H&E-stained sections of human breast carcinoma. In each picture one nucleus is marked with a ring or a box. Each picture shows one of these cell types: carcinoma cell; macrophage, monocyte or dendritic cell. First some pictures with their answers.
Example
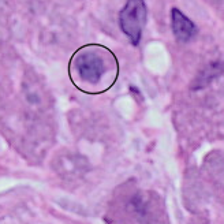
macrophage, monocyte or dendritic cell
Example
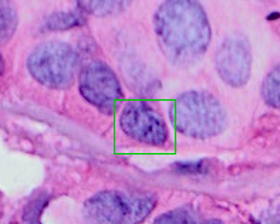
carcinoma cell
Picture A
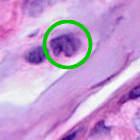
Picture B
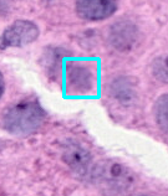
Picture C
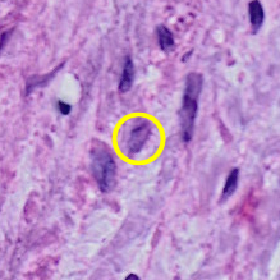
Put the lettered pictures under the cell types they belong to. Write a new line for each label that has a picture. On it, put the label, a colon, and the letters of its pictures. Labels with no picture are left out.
carcinoma cell: B
macrophage, monocyte or dendritic cell: A, C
